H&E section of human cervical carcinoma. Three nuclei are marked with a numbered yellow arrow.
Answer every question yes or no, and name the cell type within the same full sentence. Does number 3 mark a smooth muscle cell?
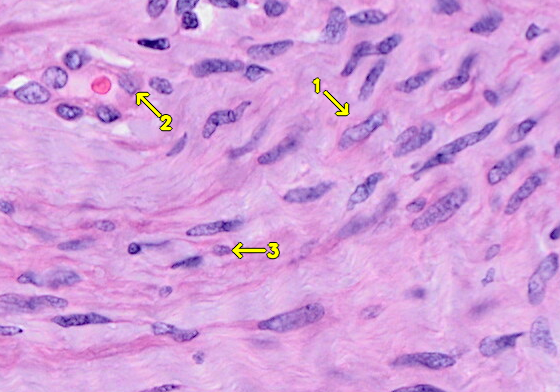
Yes, that is so; number 3 marks a smooth muscle cell.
